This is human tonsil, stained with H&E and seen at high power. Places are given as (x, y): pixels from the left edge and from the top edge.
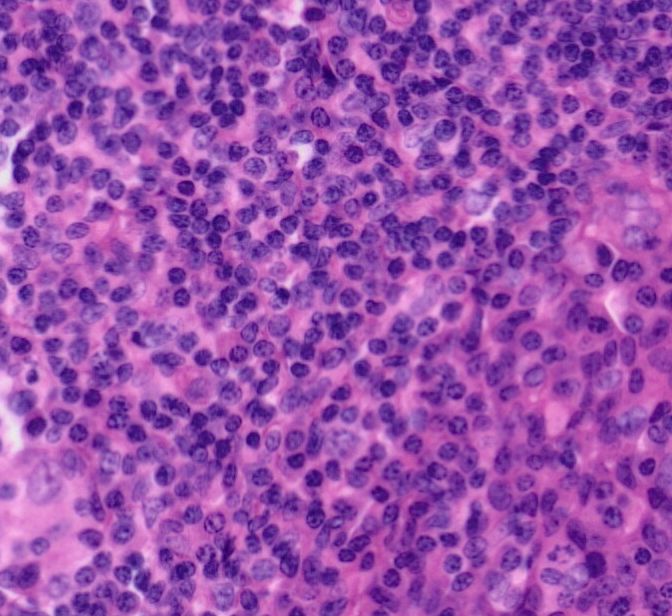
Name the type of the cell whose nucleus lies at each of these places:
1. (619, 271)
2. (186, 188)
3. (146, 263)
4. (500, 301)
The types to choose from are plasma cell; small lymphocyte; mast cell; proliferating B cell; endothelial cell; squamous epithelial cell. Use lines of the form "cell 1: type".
cell 1: plasma cell
cell 2: small lymphocyte
cell 3: plasma cell
cell 4: plasma cell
